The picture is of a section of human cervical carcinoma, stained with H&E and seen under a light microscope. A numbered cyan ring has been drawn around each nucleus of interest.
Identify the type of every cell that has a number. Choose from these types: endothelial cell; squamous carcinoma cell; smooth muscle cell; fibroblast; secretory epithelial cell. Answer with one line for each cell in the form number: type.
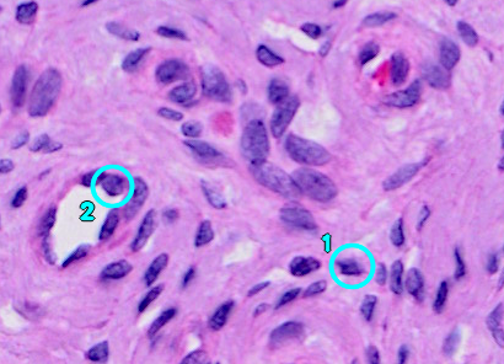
1: fibroblast
2: endothelial cell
